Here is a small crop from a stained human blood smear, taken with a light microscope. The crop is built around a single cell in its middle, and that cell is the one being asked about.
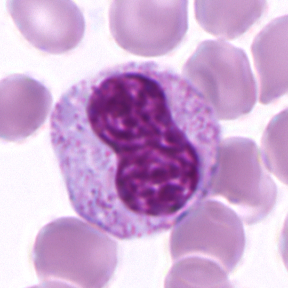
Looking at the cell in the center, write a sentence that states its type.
As for the central cell, it is a metamyelocyte.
